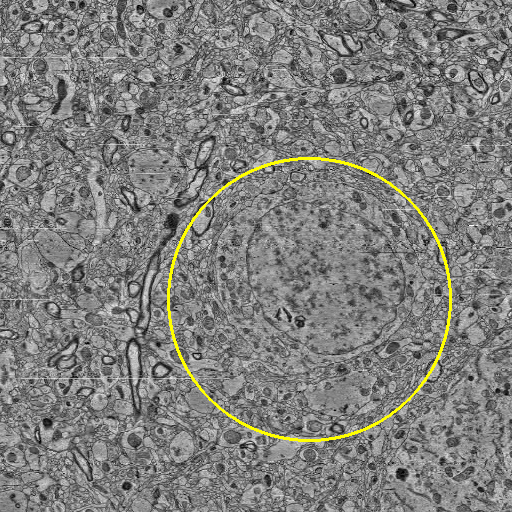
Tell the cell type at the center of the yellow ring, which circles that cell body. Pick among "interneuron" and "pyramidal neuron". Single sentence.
The ring is centered on the body of an interneuron.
